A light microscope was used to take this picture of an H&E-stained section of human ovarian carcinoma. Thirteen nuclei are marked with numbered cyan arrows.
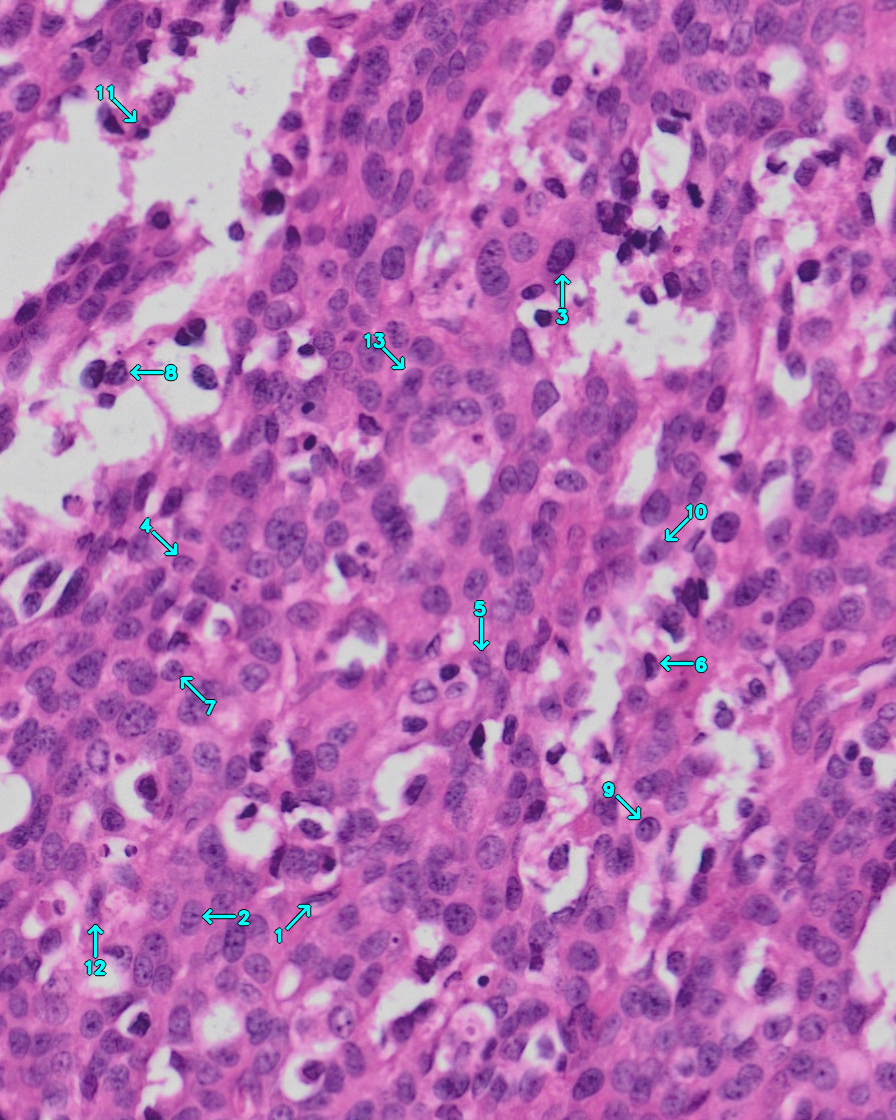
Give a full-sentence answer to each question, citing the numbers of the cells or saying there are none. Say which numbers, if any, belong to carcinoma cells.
The cells which carry the numbers 2, 3, 5, 10 and 13 are carcinoma cells.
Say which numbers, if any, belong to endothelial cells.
Cells 1 and 12 are endothelial cells by cell type.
